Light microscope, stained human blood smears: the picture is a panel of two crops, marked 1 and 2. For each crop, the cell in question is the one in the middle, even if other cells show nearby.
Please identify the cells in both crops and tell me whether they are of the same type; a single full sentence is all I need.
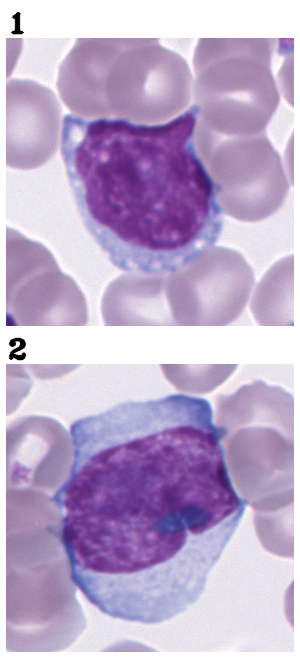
No, a lymphocyte is in crop 1, and a blast is in crop 2.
